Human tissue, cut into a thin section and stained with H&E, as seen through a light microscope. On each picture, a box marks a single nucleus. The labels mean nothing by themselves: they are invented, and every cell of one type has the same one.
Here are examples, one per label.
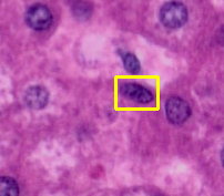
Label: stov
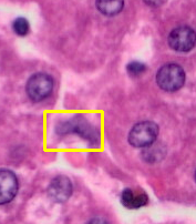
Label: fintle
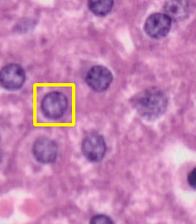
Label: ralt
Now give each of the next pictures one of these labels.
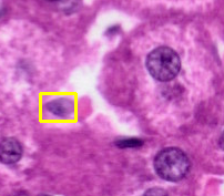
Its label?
fintle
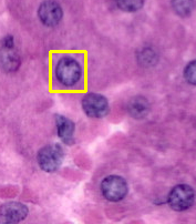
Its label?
ralt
